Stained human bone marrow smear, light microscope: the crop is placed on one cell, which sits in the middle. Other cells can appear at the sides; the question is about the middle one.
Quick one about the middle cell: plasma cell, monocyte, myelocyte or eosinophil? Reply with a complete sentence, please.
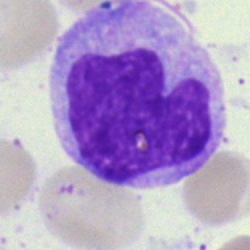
The central cell shown in this smear crop is a monocyte.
